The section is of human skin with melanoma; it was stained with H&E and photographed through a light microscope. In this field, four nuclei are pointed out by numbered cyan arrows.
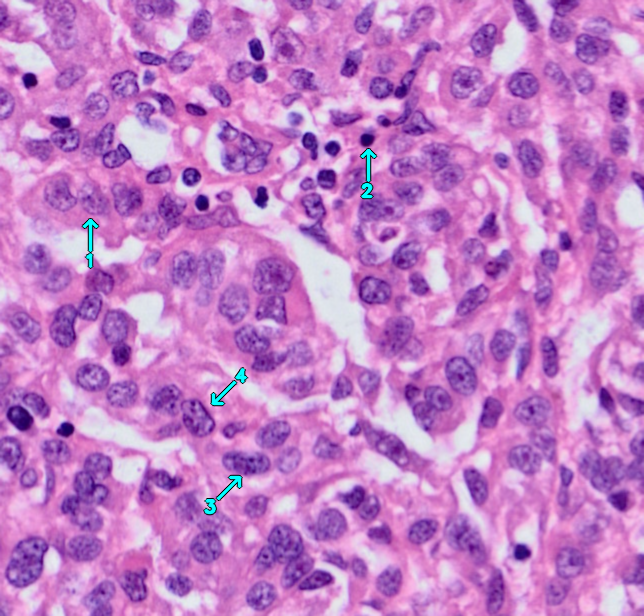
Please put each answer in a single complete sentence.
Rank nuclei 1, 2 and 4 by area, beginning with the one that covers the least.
The order from the smallest nucleus to the largest is 2, 1, 4.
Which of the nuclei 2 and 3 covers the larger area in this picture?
The larger nucleus is 3, at roughly 4 times the area of 2.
